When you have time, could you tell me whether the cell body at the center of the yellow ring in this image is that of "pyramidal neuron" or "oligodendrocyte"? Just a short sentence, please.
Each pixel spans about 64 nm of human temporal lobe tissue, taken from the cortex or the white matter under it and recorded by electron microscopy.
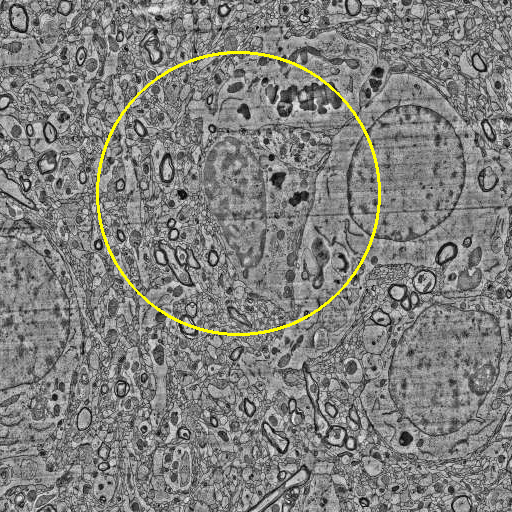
The cell body at the center of the ring is that of an oligodendrocyte.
